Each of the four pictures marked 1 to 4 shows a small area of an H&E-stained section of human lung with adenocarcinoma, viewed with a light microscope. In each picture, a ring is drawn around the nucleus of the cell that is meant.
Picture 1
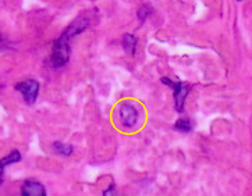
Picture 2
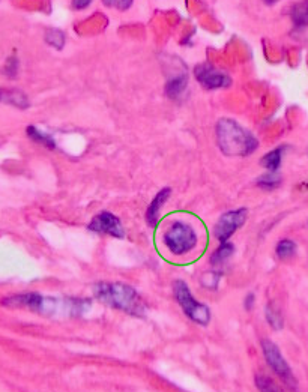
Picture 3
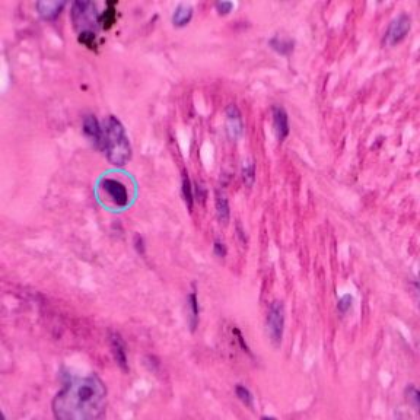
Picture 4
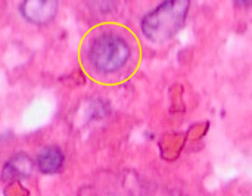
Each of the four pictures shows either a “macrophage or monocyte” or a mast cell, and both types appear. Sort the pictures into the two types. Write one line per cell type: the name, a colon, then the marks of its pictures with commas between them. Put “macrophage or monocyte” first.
macrophage or monocyte: 4
mast cell: 1, 2, 3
